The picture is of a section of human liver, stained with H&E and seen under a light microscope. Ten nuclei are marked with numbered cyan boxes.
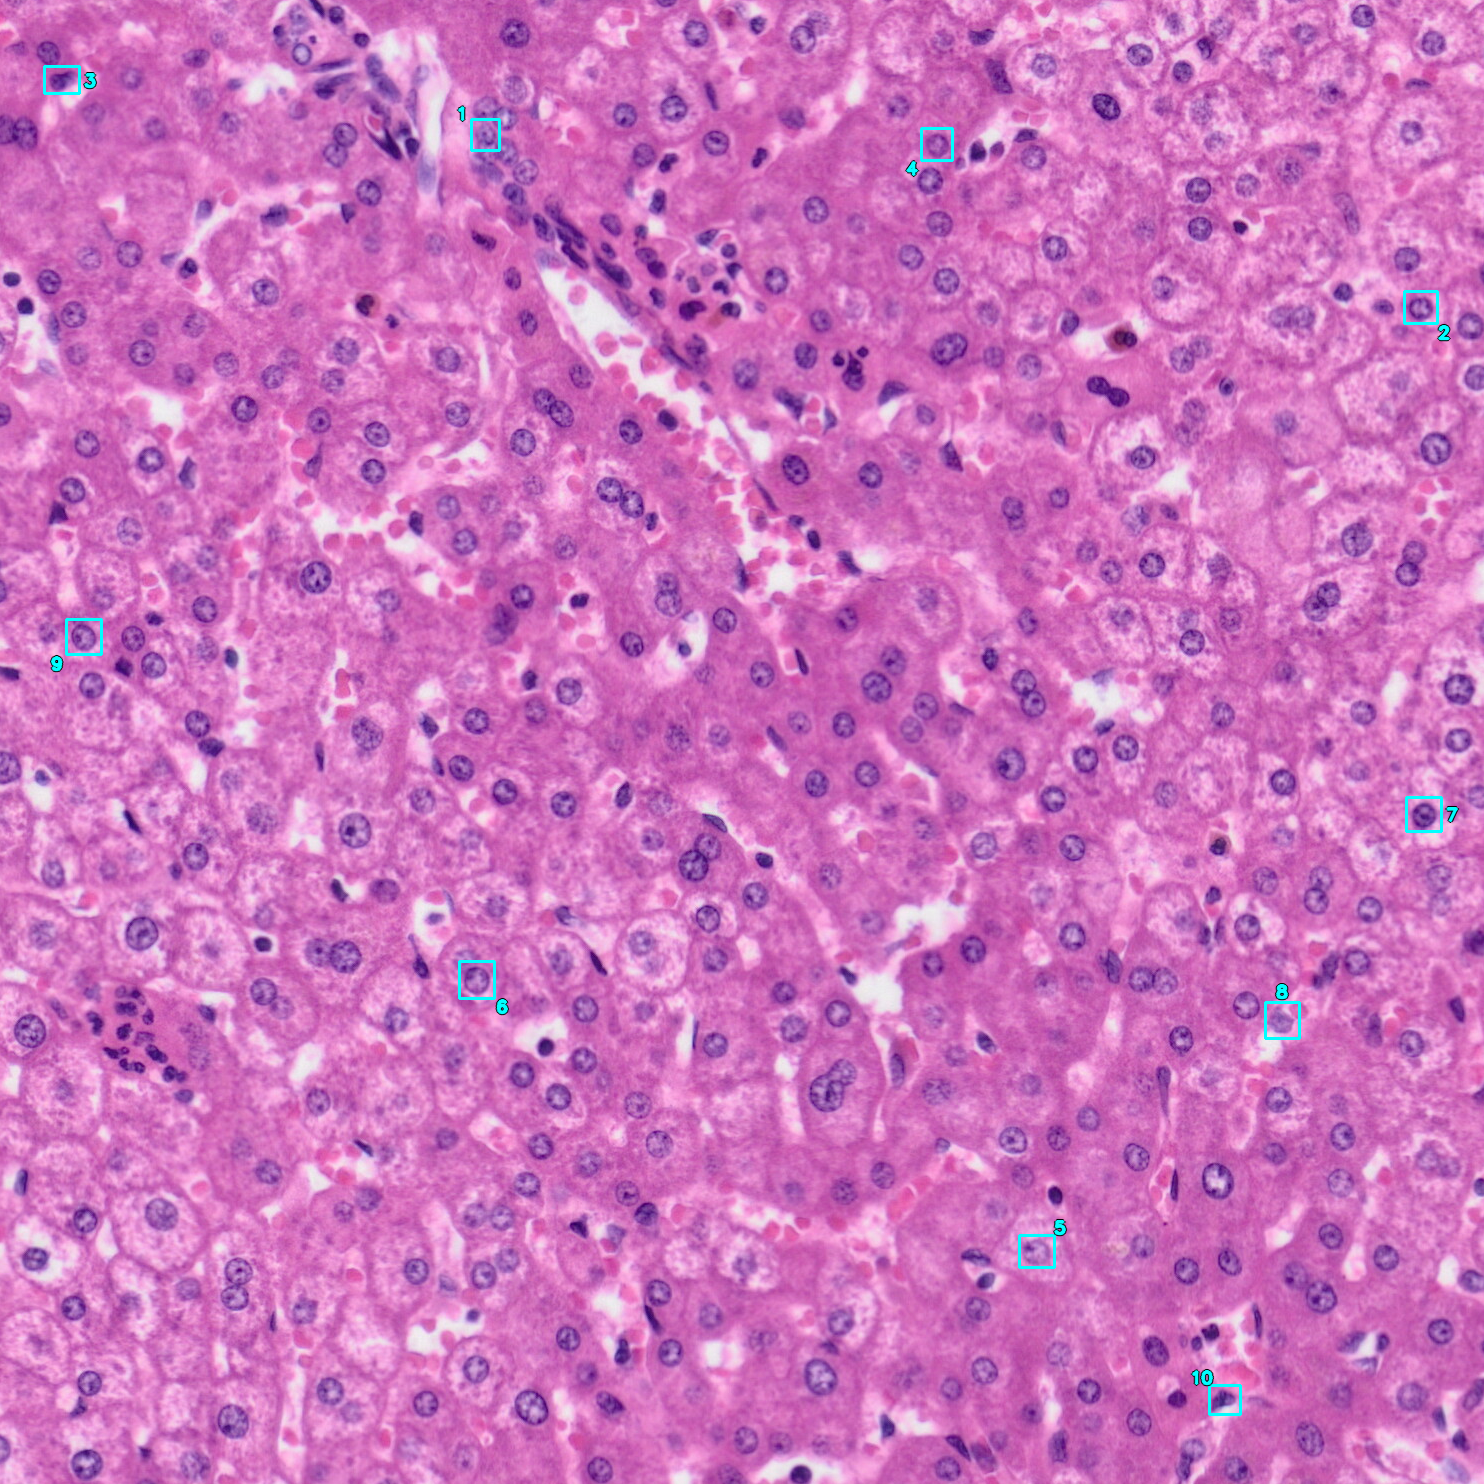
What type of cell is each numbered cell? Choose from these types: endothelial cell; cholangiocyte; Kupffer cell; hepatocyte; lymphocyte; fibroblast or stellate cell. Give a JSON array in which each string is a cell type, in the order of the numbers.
["cholangiocyte", "hepatocyte", "fibroblast or stellate cell", "hepatocyte", "hepatocyte", "hepatocyte", "hepatocyte", "endothelial cell", "hepatocyte", "fibroblast or stellate cell"]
